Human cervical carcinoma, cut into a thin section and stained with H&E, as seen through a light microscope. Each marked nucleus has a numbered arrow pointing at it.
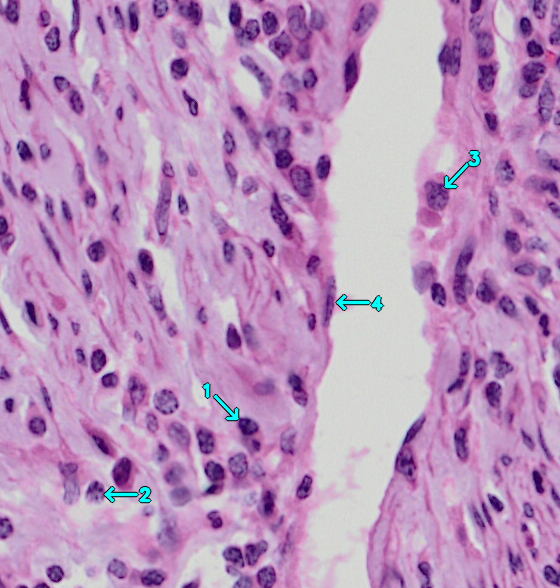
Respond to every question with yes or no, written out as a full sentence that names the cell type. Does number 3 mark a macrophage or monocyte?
Yes, in this tissue section, number 3 is a macrophage or monocyte.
